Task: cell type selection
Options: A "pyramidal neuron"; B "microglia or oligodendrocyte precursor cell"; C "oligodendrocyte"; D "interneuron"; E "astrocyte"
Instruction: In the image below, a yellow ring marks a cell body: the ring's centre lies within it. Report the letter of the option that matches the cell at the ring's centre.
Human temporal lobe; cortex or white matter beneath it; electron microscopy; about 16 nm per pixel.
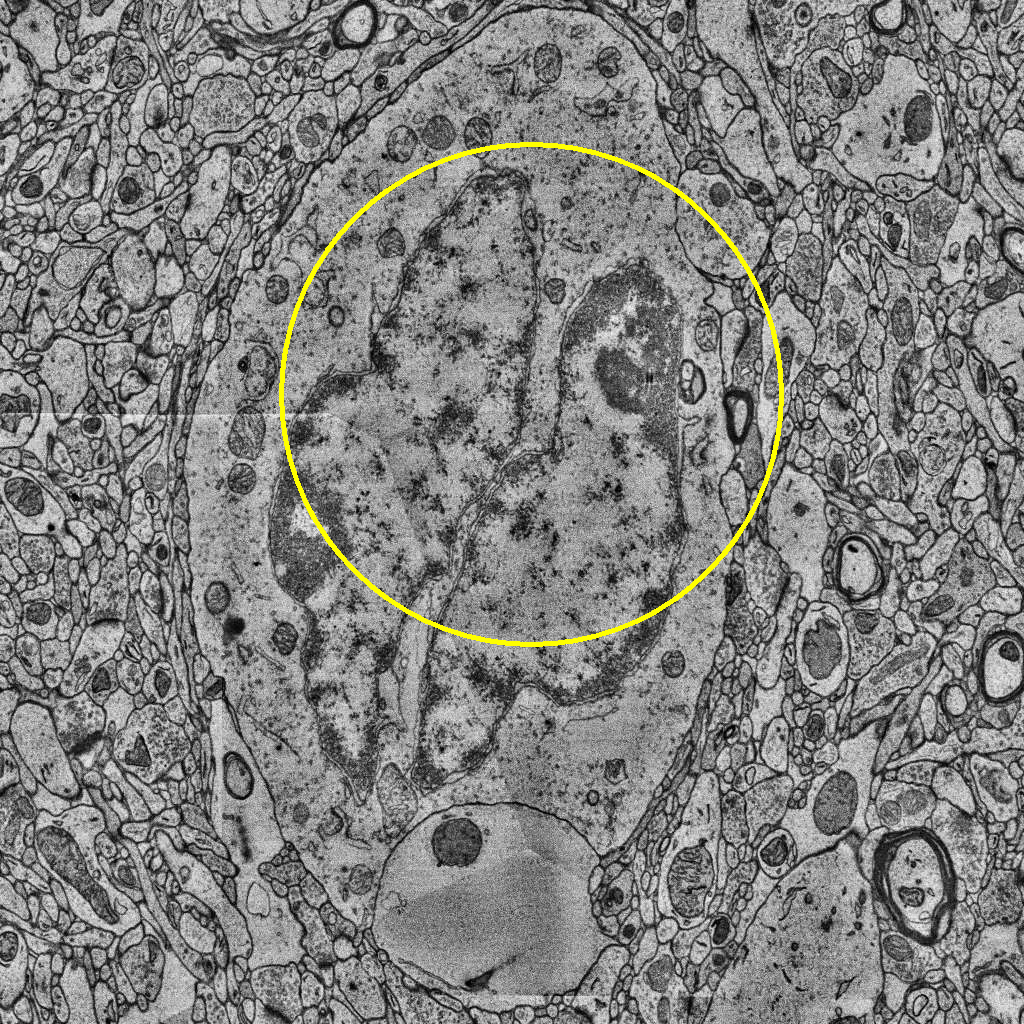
D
